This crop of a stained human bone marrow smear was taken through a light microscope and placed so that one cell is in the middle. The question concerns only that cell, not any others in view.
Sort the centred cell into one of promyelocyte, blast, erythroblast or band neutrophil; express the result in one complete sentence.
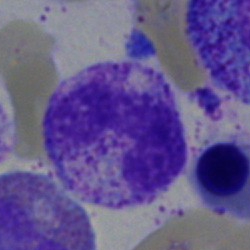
This crop's central cell is a band neutrophil.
